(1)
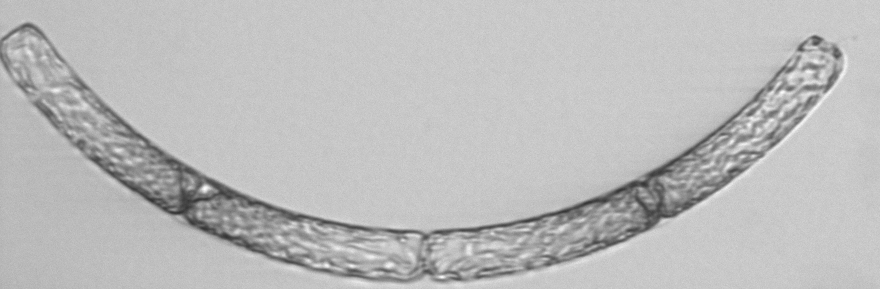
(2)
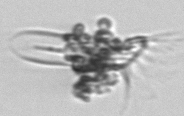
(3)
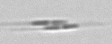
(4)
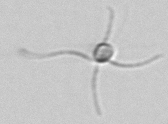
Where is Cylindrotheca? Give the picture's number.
3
